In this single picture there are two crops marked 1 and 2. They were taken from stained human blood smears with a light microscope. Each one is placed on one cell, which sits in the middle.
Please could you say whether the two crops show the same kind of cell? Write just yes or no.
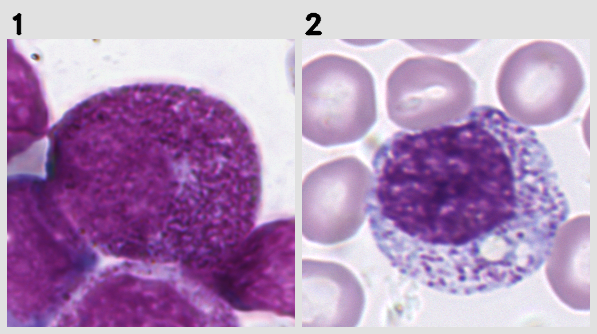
yes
